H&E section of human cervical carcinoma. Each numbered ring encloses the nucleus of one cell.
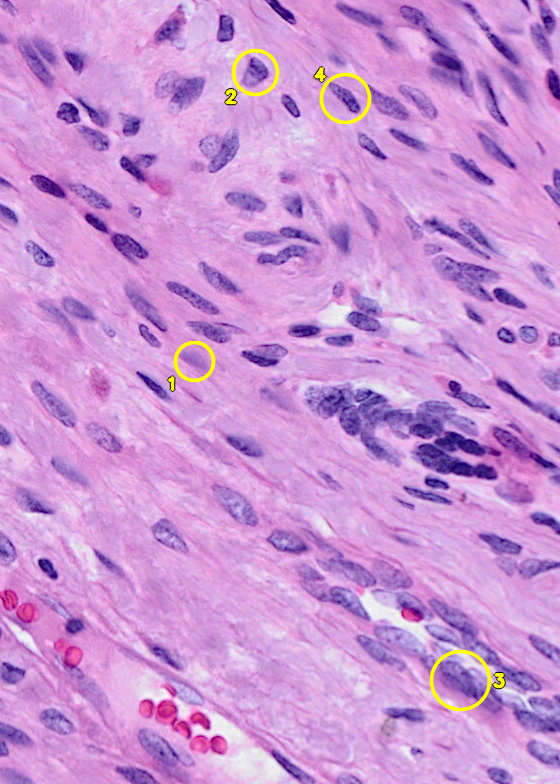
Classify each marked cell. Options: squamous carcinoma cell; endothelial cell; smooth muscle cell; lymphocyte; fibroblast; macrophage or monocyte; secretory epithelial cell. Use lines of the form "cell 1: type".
cell 1: fibroblast
cell 2: fibroblast
cell 3: endothelial cell
cell 4: fibroblast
